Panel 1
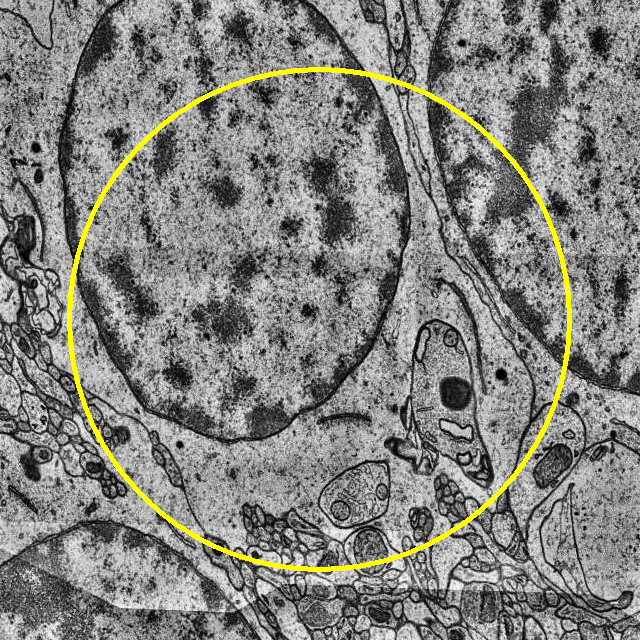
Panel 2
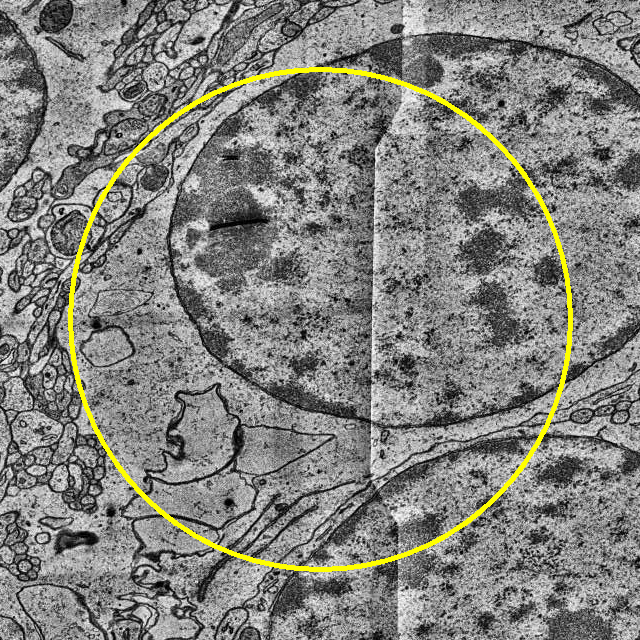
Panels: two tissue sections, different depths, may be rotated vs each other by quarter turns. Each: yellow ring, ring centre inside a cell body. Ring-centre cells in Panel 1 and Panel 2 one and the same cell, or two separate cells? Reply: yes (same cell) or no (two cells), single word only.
yes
